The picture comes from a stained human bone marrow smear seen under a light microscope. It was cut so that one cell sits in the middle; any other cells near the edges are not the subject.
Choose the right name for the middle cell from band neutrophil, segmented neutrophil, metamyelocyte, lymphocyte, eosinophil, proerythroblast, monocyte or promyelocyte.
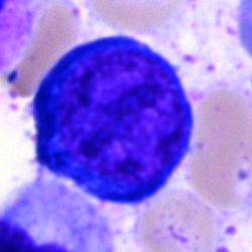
proerythroblast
